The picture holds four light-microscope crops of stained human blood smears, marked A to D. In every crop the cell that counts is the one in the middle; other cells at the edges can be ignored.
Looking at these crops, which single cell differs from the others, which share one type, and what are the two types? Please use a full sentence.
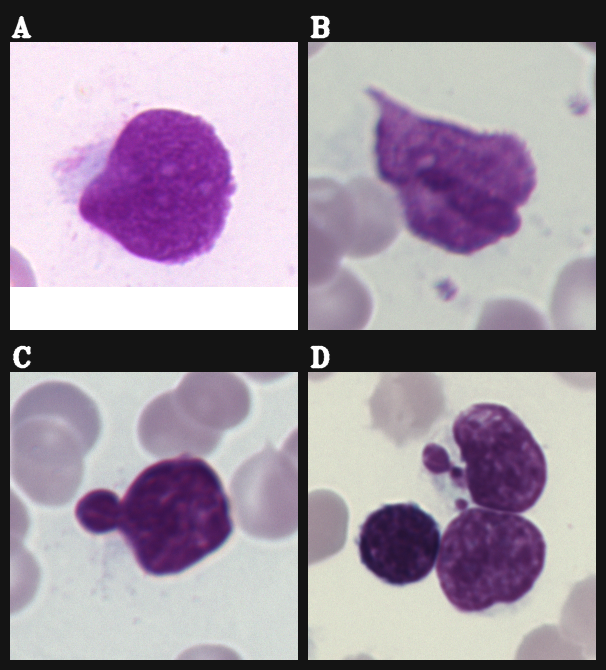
Where the others show smudge cells, crop D shows a myeloblast.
